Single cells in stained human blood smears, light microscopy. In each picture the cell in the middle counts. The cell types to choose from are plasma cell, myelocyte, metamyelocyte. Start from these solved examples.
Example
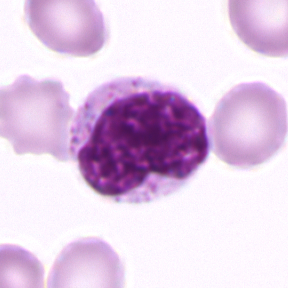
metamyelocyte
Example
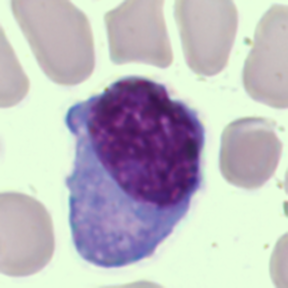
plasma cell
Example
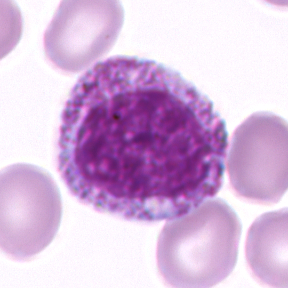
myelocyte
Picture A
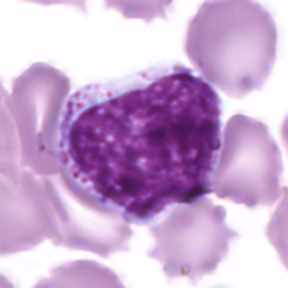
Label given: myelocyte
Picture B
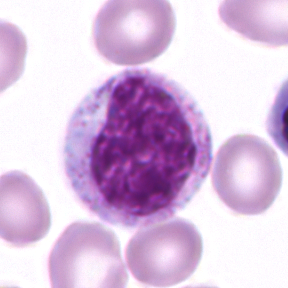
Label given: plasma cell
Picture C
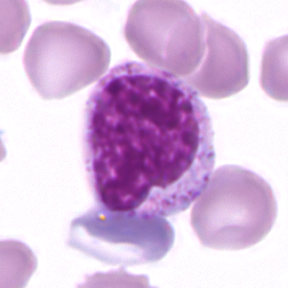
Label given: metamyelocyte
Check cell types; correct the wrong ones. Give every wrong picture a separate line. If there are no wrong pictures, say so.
B: metamyelocyte, not plasma cell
